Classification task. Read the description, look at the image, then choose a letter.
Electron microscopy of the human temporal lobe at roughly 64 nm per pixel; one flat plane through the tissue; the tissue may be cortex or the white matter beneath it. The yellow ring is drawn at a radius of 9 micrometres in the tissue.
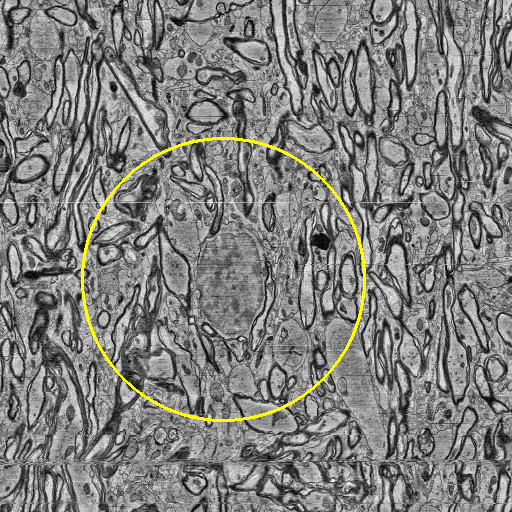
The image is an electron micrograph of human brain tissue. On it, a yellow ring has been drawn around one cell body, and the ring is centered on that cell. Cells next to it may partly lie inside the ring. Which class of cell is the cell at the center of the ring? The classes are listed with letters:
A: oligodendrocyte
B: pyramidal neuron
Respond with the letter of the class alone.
A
